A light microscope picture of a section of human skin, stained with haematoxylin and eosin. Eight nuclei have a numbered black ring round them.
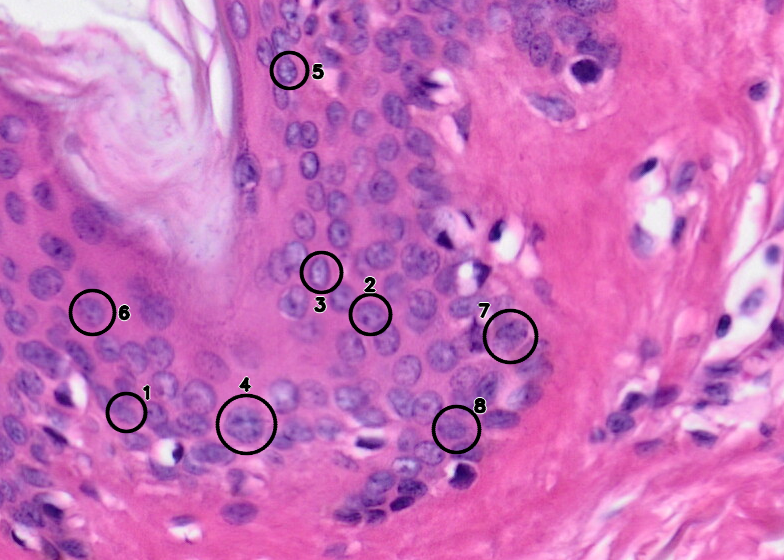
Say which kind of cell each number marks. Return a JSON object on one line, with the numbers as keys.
{"1": "basal keratinocyte", "2": "suprabasal keratinocyte", "3": "suprabasal keratinocyte", "4": "basal keratinocyte", "5": "suprabasal keratinocyte", "6": "suprabasal keratinocyte", "7": "basal keratinocyte", "8": "basal keratinocyte"}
